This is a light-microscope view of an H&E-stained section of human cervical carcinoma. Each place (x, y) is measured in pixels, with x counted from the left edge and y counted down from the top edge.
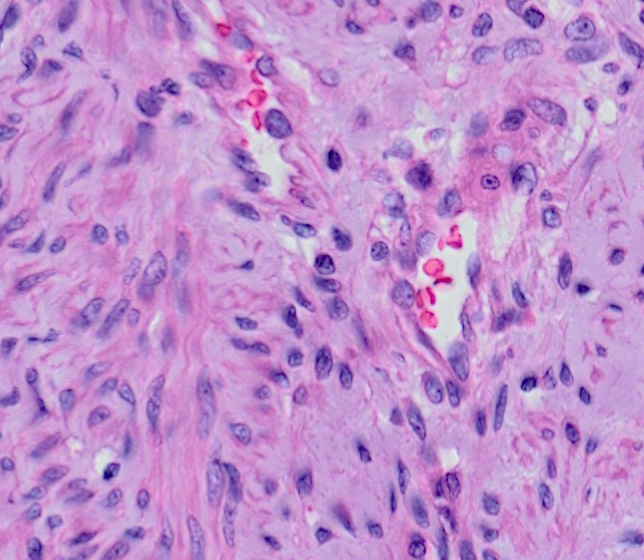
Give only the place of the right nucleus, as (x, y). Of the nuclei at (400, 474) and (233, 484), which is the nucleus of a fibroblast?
(400, 474)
